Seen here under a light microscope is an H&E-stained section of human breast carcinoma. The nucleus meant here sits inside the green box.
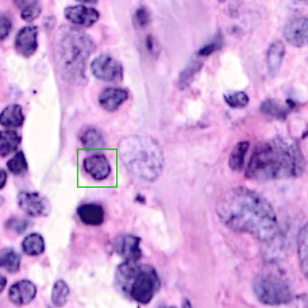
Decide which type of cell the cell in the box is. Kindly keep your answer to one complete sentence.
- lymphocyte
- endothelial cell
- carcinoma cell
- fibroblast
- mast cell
As for its identity, the cell in the box is a lymphocyte.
